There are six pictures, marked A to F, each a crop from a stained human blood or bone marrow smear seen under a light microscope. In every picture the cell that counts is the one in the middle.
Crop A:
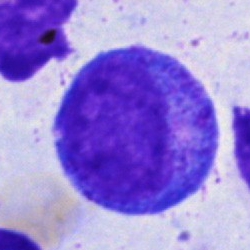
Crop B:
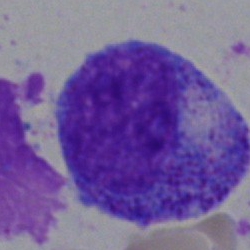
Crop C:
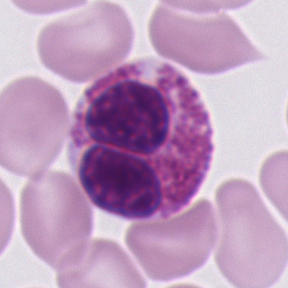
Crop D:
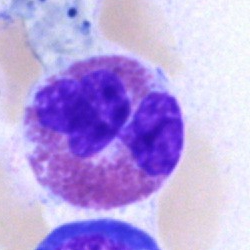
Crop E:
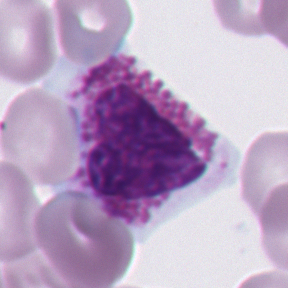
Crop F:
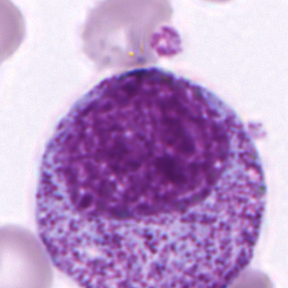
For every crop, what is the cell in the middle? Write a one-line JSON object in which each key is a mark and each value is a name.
{"A": "promyelocyte", "B": "promyelocyte", "C": "eosinophil", "D": "eosinophil", "E": "eosinophil", "F": "promyelocyte"}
